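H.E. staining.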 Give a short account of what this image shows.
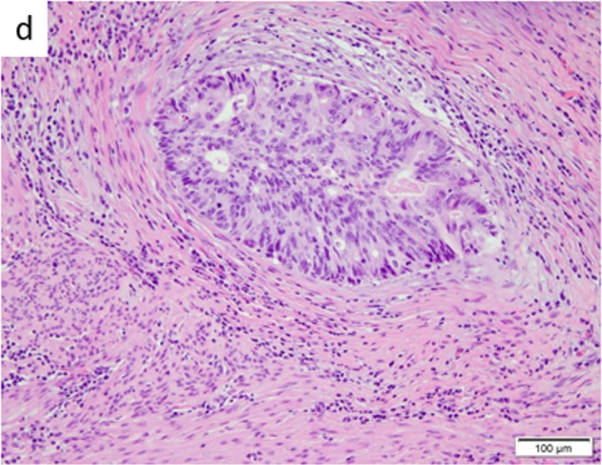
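A rounded nest of tumor cells sits within pink fibrous stroma. The cells are crowded, with enlarged, oval to elongated, darkly purple nuclei and scant cytoplasm, and they are stratified and overlapping. A few small round clear spaces within the nest suggest tiny gland-like lumina. The nest is surrounded by concentric layers of pink spindle-shaped cells with elongated nuclei, wrapping around it. Scattered small dark round inflammatory cells lie in the stroma around the nest, especially toward the left.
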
